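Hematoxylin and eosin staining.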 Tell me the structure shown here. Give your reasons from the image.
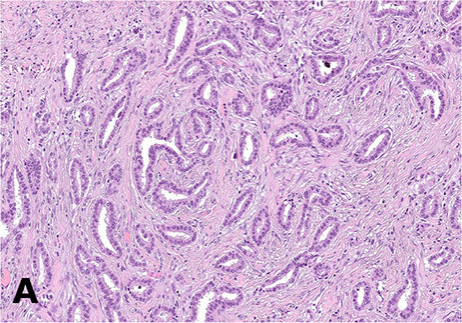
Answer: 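Tubular structures. Glands with clear central lumens lined by a single layer of cuboidal cells. Glands are rounded or angulated and scattered without order.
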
